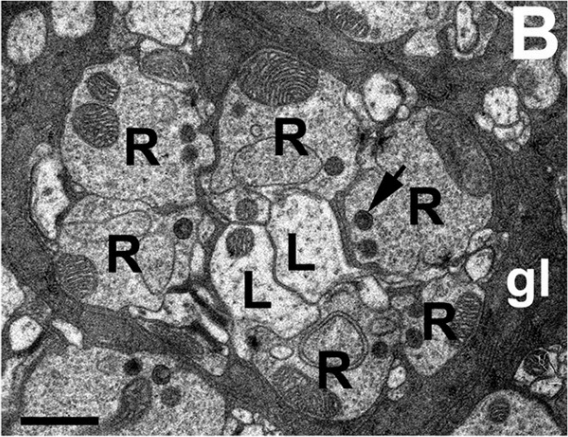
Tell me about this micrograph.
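A cross-section of one cartridge of the fly lamina shows a ring of pale photoreceptor terminals surrounding two central axons of monopolar cells. The terminals contain mitochondria and small dark round profiles, the glial capitate projections that invaginate into them, and the whole cartridge is enclosed by dark cytoplasm of epithelial glia.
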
